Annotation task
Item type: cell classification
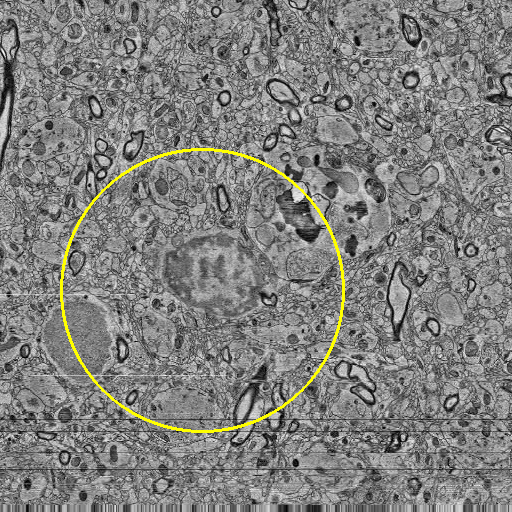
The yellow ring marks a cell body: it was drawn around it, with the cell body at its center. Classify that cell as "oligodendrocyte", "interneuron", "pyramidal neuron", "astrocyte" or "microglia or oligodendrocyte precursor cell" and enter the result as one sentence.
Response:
The ring's center falls on an oligodendrocyte.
